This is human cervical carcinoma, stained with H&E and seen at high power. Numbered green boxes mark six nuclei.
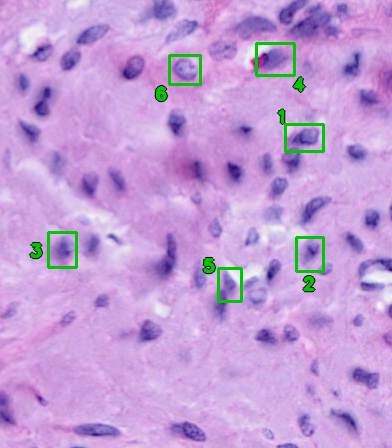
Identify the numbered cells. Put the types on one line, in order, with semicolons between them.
fibroblast; fibroblast; fibroblast; endothelial cell; fibroblast; endothelial cell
